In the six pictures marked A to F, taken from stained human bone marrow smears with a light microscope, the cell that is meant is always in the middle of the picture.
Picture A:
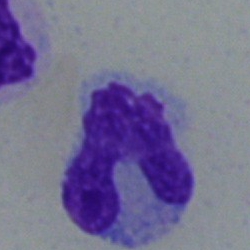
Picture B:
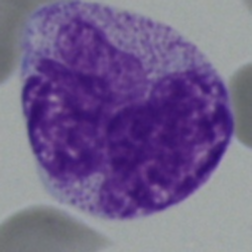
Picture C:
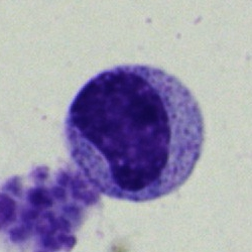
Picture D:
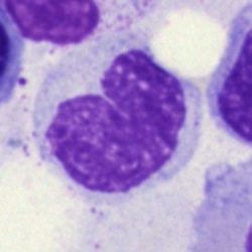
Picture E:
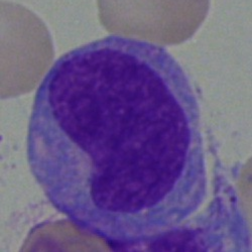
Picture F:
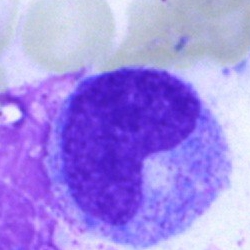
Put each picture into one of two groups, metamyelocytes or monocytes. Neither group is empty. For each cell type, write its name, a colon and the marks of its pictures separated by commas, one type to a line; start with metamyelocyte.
metamyelocyte: C, F
monocyte: A, B, D, E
